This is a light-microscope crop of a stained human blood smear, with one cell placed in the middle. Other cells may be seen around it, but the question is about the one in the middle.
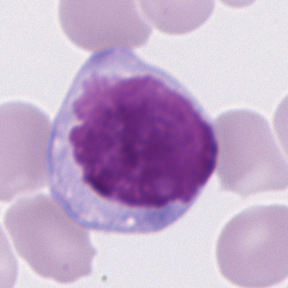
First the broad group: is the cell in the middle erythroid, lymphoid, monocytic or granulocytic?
lymphoid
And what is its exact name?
typical lymphocyte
